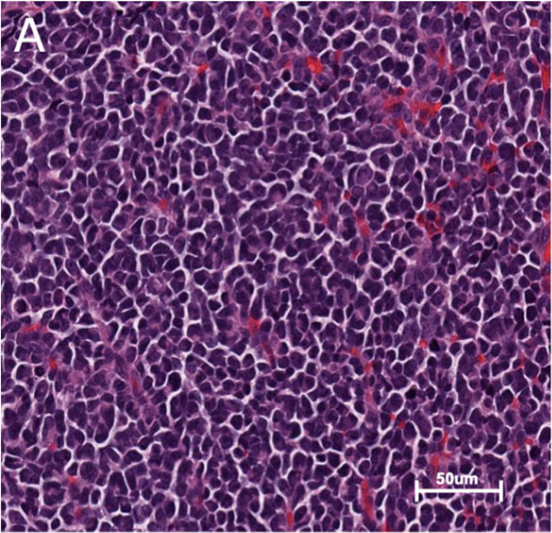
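Tightly packed sheets of small, uniform round tumor cells fill the field, separated here and there by thin strands of pink stroma holding red blood cells. Each cell is mostly a round, dark purple nucleus with only a thin pale rim of cytoplasm, and no prominent nucleoli stand out.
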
